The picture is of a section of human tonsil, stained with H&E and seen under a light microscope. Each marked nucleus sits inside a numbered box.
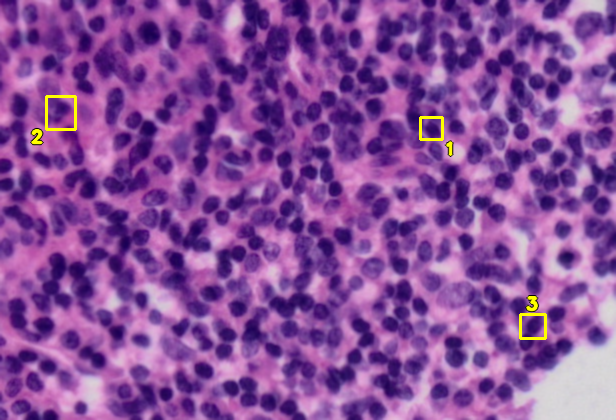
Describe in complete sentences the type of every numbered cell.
Cells 1 and 3 are small lymphocytes. Cell 2 is an endothelial cell.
